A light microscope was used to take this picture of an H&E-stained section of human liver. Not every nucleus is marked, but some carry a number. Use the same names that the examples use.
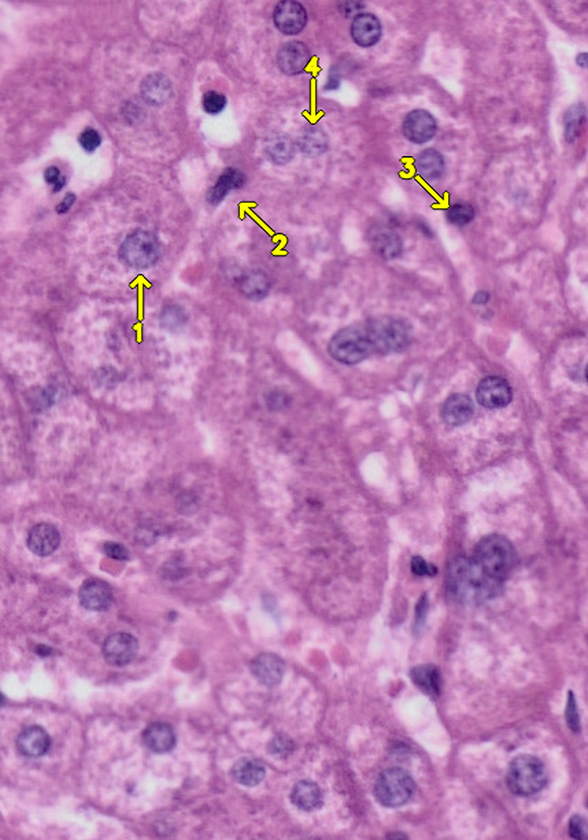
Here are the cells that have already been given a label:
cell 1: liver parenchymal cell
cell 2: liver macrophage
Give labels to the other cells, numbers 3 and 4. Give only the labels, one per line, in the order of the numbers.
liver macrophage
liver parenchymal cell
